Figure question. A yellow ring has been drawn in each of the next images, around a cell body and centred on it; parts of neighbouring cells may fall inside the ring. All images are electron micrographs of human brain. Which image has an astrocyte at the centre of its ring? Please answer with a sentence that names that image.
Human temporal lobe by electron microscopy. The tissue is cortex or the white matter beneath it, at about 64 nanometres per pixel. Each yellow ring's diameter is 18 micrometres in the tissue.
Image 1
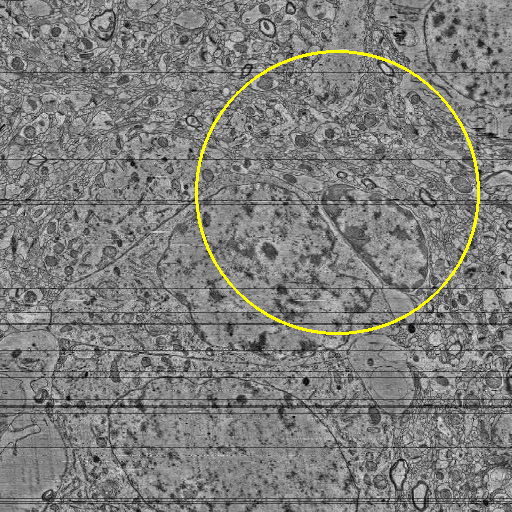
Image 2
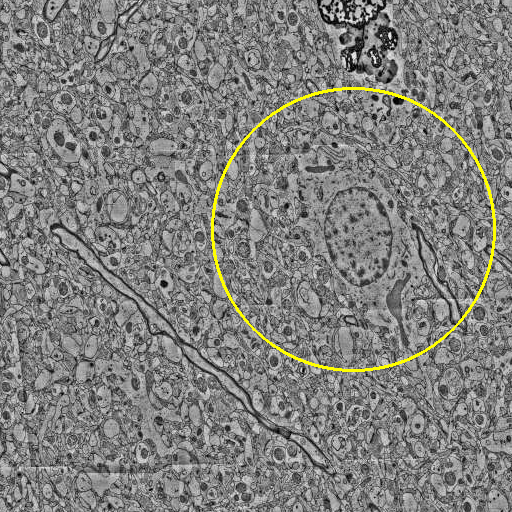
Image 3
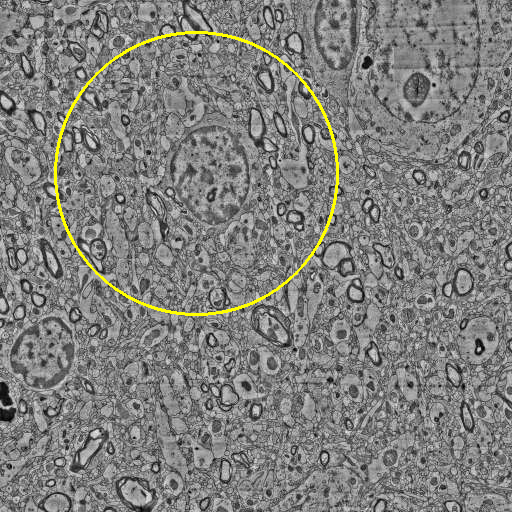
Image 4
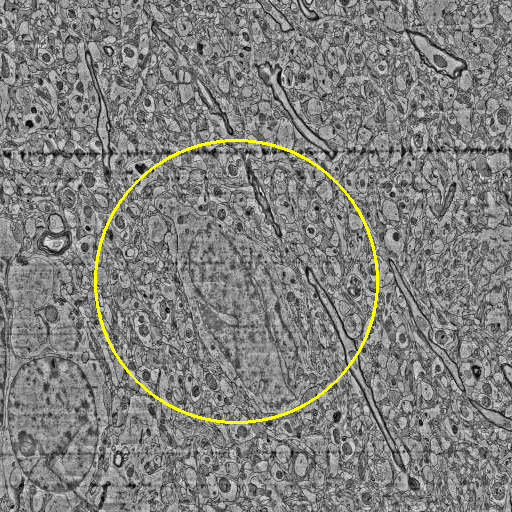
The cell at the centre of the ring in Image 2 is of that kind.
